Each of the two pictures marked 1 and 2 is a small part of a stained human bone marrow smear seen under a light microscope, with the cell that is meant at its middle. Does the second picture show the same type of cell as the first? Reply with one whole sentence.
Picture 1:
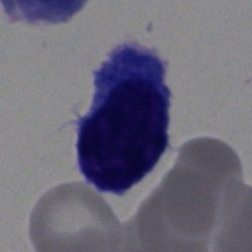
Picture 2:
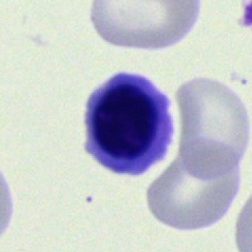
No, the types are not the same, since picture 1 shows a lymphocyte and picture 2 an erythroblast.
